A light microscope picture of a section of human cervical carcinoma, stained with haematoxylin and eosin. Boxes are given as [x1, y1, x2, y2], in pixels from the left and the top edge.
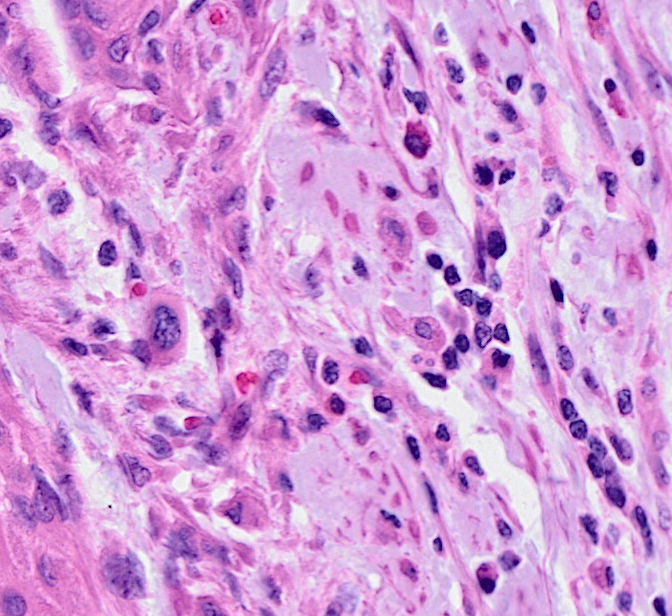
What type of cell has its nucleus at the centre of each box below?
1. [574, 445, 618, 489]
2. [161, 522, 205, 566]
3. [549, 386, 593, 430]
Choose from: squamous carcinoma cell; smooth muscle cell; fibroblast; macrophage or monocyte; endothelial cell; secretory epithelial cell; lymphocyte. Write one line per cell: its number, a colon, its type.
1: lymphocyte
2: fibroblast
3: lymphocyte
